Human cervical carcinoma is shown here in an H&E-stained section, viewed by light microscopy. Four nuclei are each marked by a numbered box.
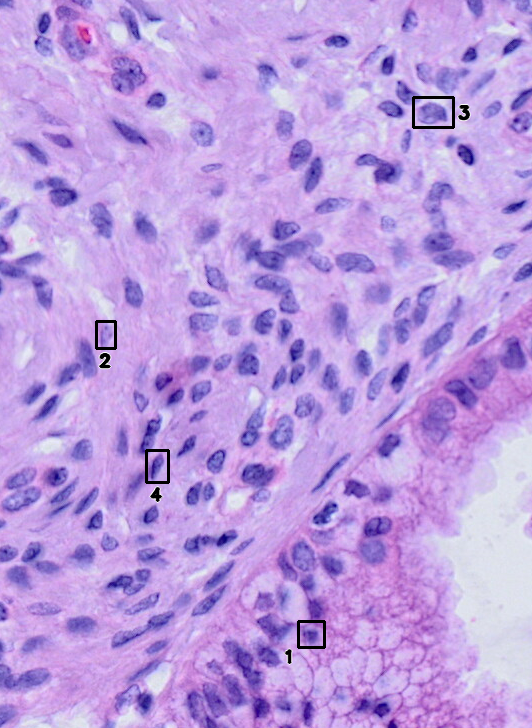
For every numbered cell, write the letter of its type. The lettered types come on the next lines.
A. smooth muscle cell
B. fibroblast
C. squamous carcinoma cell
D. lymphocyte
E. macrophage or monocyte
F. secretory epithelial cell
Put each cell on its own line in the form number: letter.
1: F
2: B
3: B
4: B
